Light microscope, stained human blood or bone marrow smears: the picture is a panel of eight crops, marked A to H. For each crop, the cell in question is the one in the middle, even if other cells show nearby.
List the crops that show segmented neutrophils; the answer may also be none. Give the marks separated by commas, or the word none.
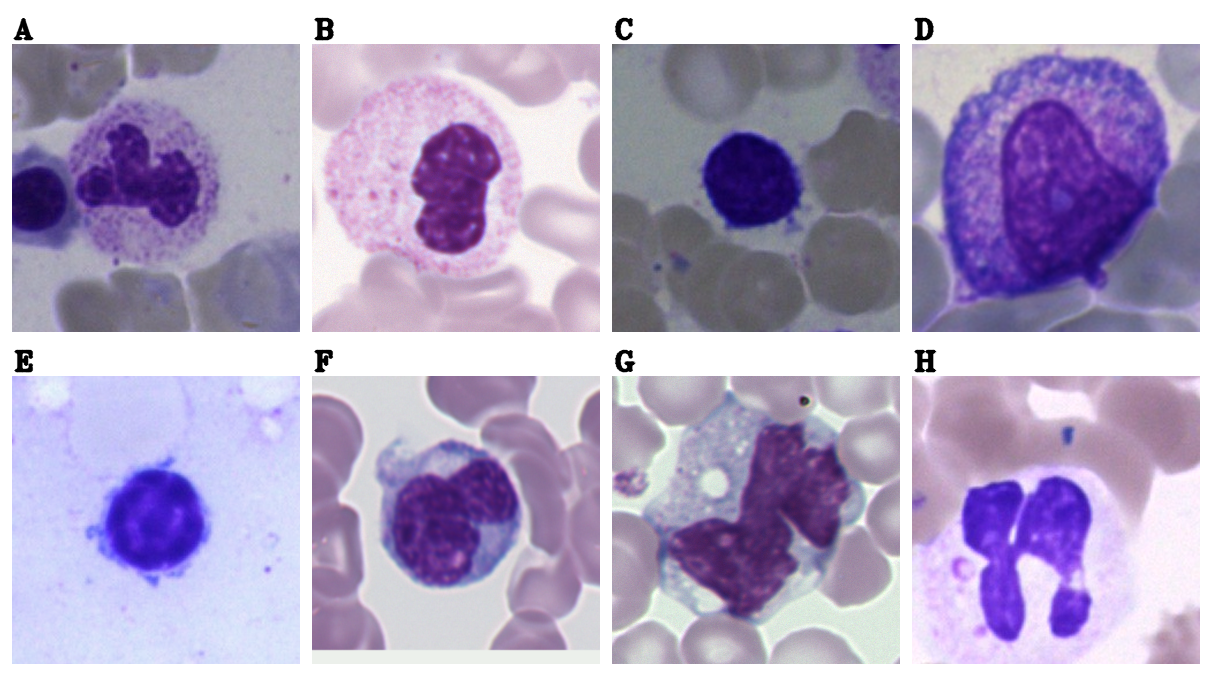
A, B, H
